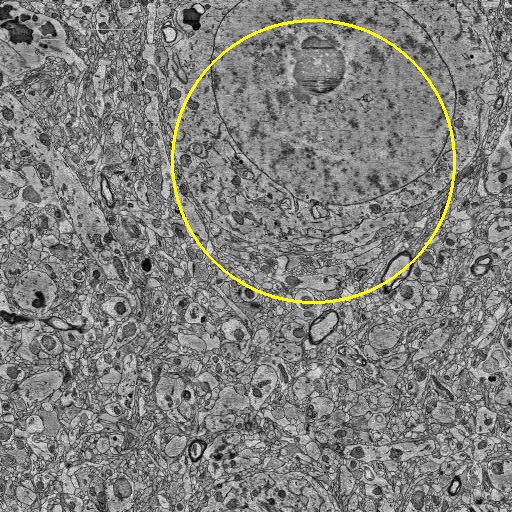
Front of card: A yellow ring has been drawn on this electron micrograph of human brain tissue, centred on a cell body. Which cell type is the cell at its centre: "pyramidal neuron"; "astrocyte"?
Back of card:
pyramidal neuron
